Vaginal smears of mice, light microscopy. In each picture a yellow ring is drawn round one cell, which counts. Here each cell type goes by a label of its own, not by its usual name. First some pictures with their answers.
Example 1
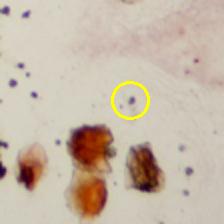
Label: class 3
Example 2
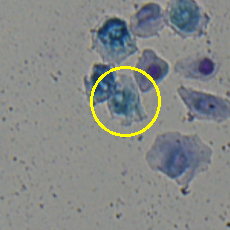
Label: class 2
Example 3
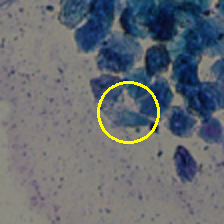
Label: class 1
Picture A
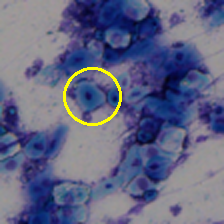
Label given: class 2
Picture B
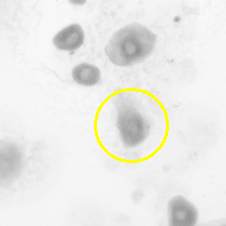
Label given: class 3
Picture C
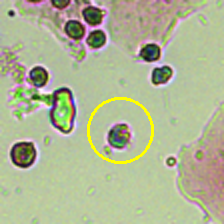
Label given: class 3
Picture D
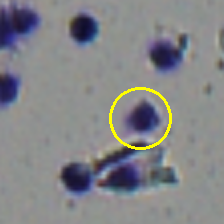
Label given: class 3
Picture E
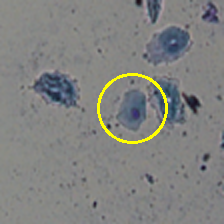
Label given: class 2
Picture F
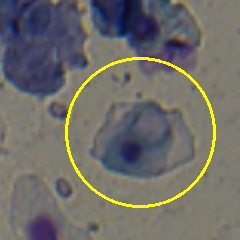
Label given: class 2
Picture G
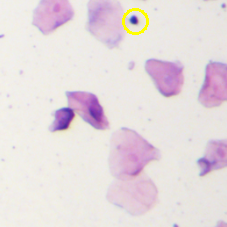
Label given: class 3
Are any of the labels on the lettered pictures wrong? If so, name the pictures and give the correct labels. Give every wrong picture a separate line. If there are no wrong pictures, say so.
B: change class 3 to class 2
